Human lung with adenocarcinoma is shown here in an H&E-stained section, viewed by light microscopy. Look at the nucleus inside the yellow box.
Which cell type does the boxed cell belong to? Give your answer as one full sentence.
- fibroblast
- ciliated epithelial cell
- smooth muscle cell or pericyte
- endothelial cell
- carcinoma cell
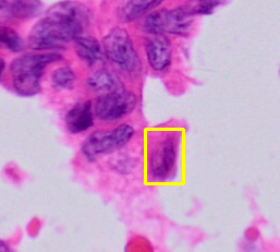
In terms of identity, the boxed cell is a carcinoma cell.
